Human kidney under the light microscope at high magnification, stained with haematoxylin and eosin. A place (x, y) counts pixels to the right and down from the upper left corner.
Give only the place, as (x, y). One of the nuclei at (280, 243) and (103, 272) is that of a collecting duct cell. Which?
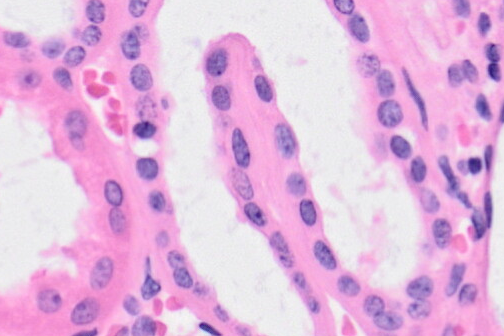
(280, 243)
